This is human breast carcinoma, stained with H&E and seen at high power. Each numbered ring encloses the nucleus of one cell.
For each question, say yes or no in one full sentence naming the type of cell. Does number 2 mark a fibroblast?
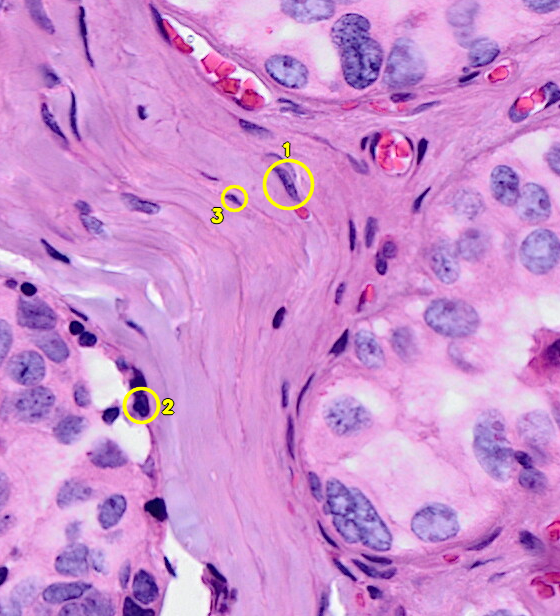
No, the cell labelled 2 is a lymphocyte and not a fibroblast.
